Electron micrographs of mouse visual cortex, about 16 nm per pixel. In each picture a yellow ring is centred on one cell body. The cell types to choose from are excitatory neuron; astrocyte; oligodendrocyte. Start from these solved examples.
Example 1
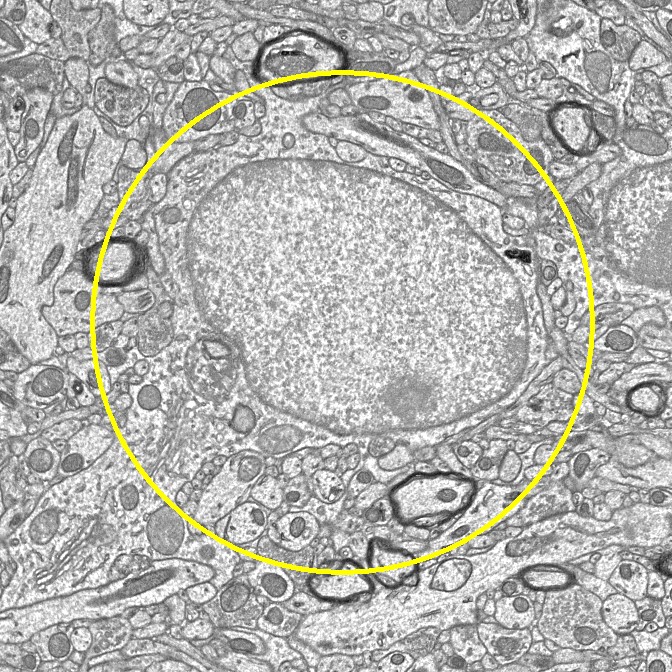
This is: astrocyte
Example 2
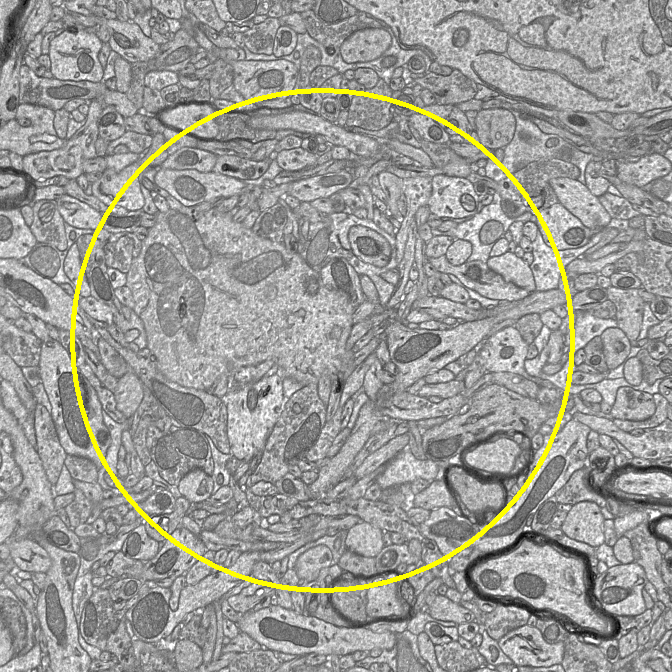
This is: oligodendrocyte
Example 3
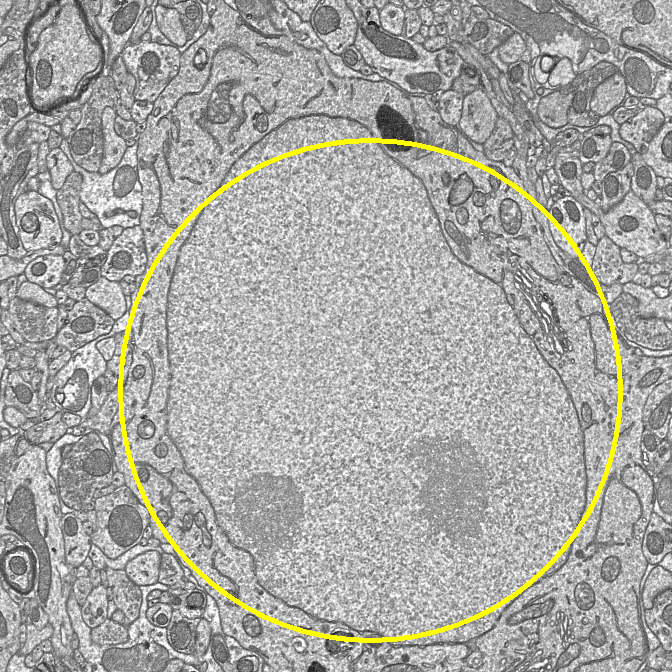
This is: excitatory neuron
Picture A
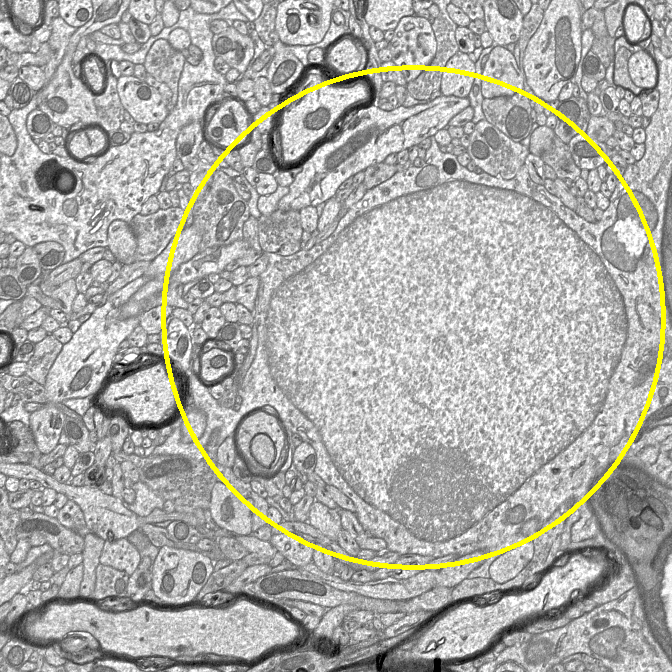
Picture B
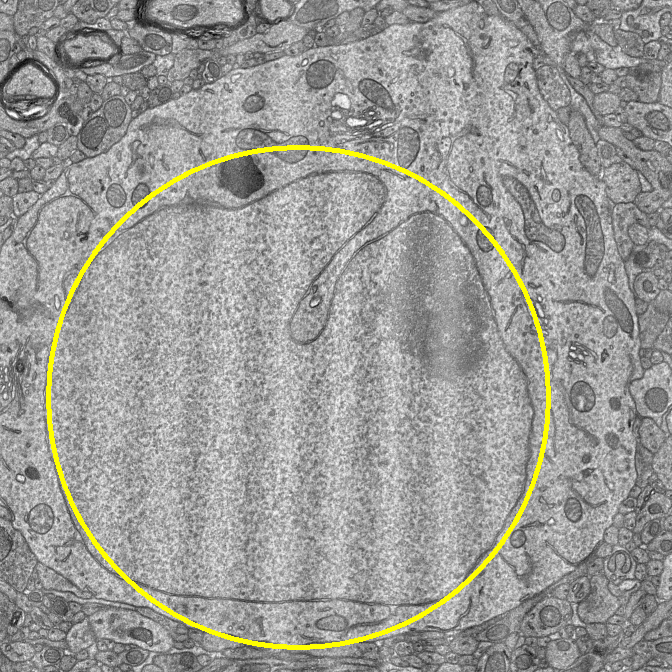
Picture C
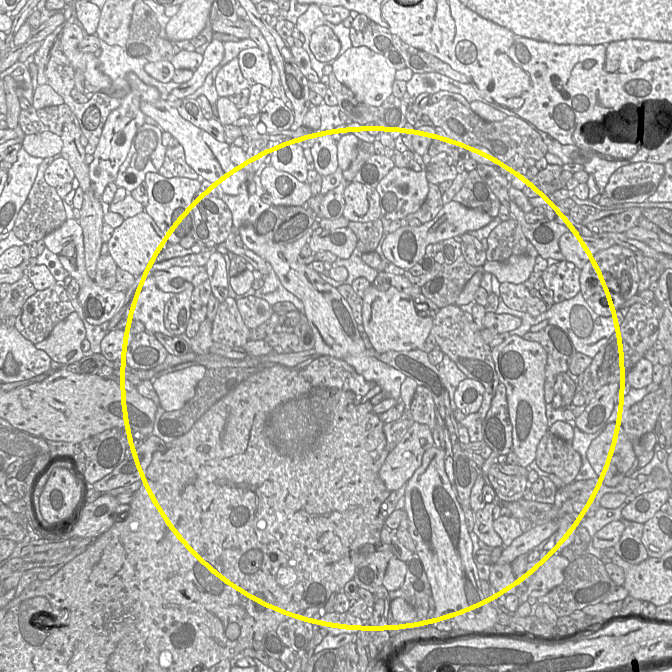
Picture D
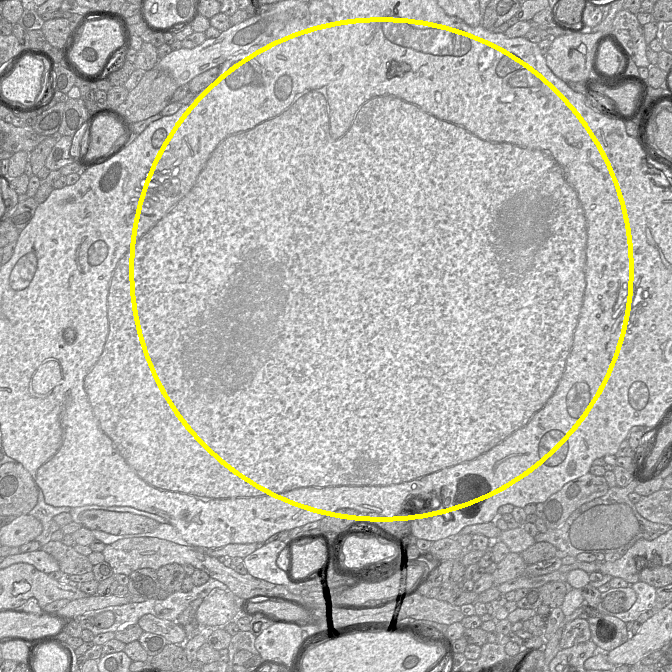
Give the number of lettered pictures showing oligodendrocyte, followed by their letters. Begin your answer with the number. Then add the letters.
1: C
